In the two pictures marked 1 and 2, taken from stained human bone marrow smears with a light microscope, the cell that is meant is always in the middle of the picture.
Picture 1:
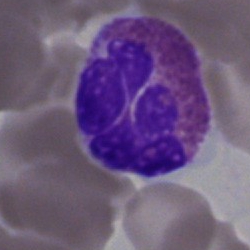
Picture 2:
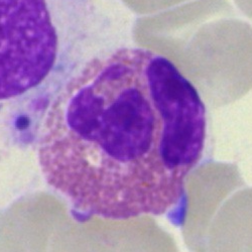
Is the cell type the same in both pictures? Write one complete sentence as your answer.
Yes; the cells in both pictures are eosinophils.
